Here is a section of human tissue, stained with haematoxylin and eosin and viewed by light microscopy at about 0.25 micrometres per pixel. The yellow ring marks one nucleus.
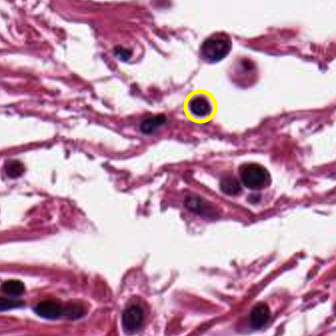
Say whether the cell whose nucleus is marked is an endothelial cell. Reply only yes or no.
no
